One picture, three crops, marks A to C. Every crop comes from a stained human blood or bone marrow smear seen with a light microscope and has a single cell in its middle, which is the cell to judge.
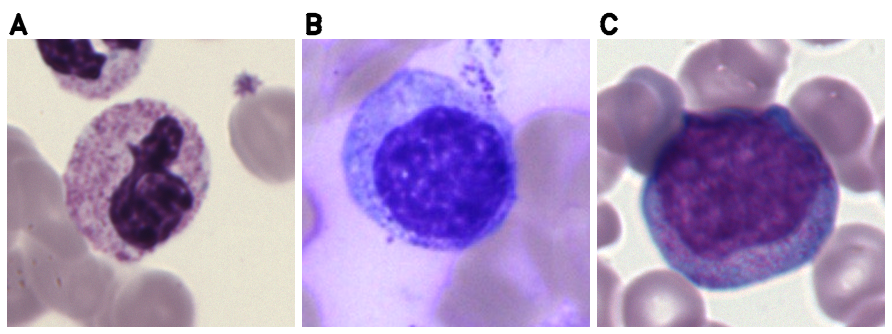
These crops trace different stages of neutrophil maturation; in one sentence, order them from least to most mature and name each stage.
From least to most mature, the sequence is given by crop C (a promyelocyte), crop B (a myelocyte) and crop A (a segmented neutrophil).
